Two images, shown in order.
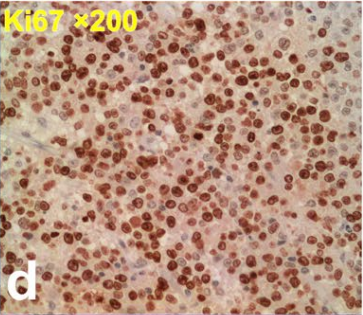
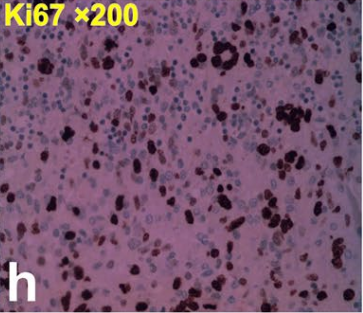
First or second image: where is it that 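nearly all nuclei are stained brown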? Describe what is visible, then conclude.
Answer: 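Second image: brown nuclei are scattered among many blue unstained nuclei. First image: almost every nucleus in the field is brown. That points to this answer: the first image.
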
